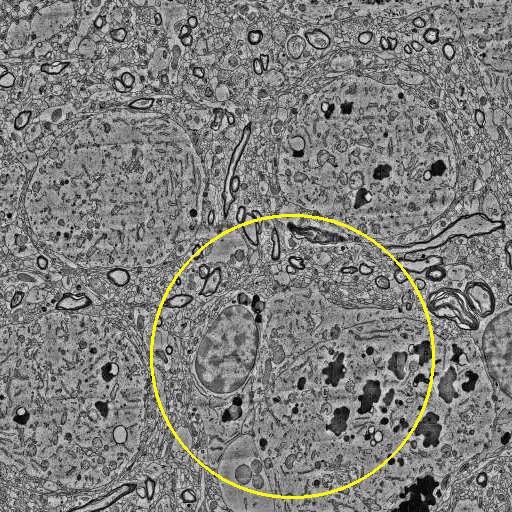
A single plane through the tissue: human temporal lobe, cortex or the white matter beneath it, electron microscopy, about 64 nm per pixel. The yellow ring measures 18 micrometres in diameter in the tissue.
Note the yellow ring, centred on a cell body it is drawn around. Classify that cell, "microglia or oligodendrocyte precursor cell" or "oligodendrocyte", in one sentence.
The cell the ring is centred on is a microglial cell or oligodendrocyte precursor cell.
